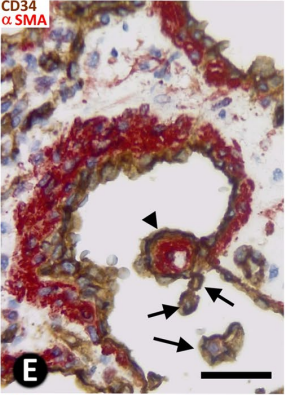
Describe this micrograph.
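A vessel with a wide lumen has a wall of red-stained smooth muscle cells lying outside a lining of brown-stained endothelial cells. Within the lumen lie rounded pillars covered by brown endothelial cells. One pillar is larger and has a red core, while the others are small. Further red-stained vessel walls appear at the upper edge.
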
